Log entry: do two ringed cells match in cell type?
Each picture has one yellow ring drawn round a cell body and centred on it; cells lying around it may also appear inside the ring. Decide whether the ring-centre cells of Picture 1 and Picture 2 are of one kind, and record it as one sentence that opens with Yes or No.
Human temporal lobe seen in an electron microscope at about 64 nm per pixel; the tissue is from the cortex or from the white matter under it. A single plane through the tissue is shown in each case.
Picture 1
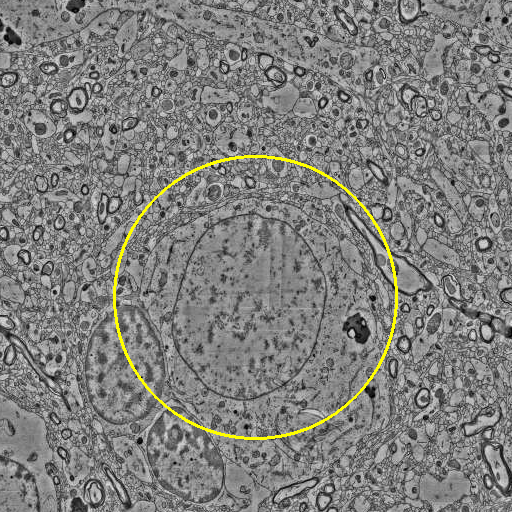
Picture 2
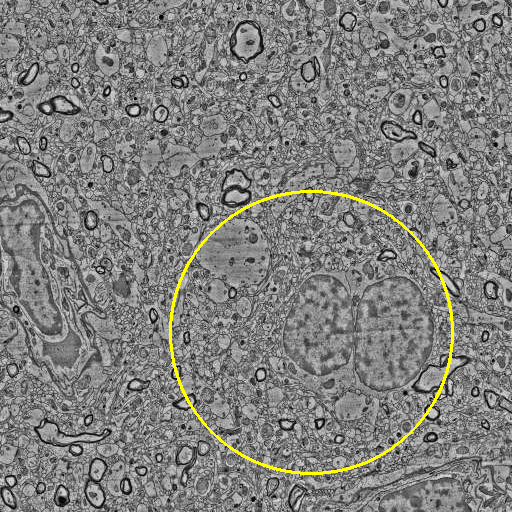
No, the cells at the ring centres of the two pictures belong to two kinds.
